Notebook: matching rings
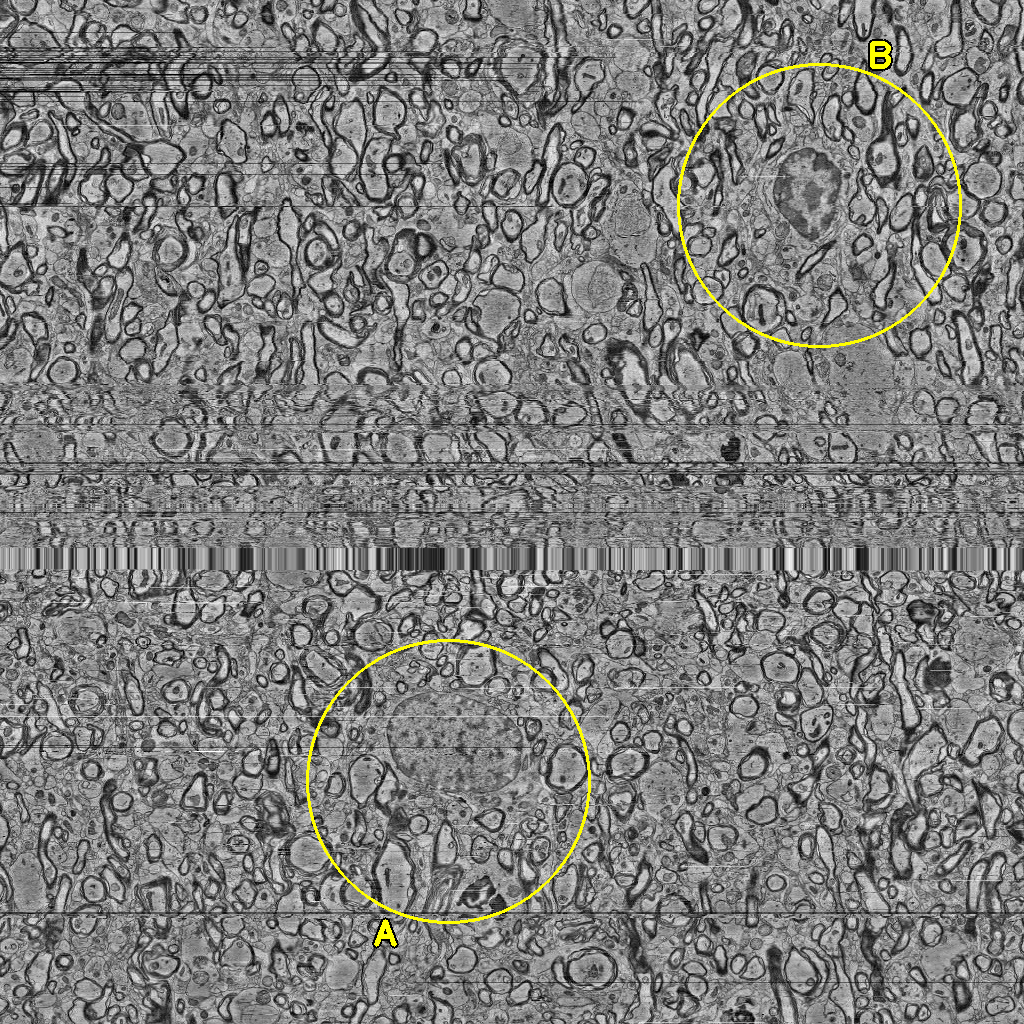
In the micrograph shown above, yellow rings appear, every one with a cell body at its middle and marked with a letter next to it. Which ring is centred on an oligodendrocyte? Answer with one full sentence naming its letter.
A cell of that kind lies at the centre of the ring lettered A.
